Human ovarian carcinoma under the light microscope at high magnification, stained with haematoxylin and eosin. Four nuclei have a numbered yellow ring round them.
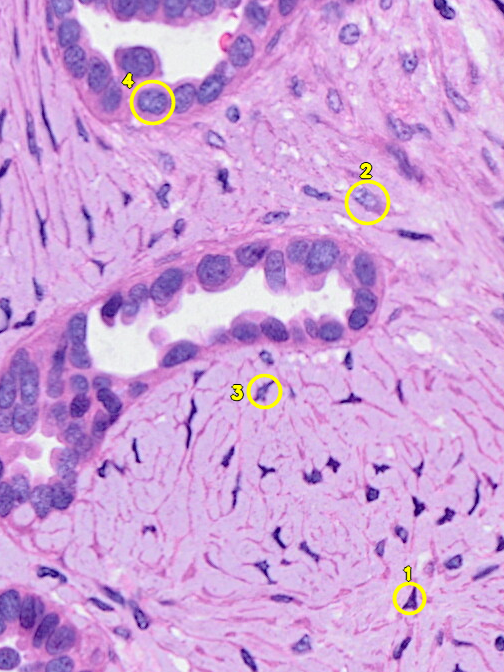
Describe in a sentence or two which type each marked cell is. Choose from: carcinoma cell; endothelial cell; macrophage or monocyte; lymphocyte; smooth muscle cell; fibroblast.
Cells 1, 2 and 3 are fibroblasts. Cell 4 is a carcinoma cell.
